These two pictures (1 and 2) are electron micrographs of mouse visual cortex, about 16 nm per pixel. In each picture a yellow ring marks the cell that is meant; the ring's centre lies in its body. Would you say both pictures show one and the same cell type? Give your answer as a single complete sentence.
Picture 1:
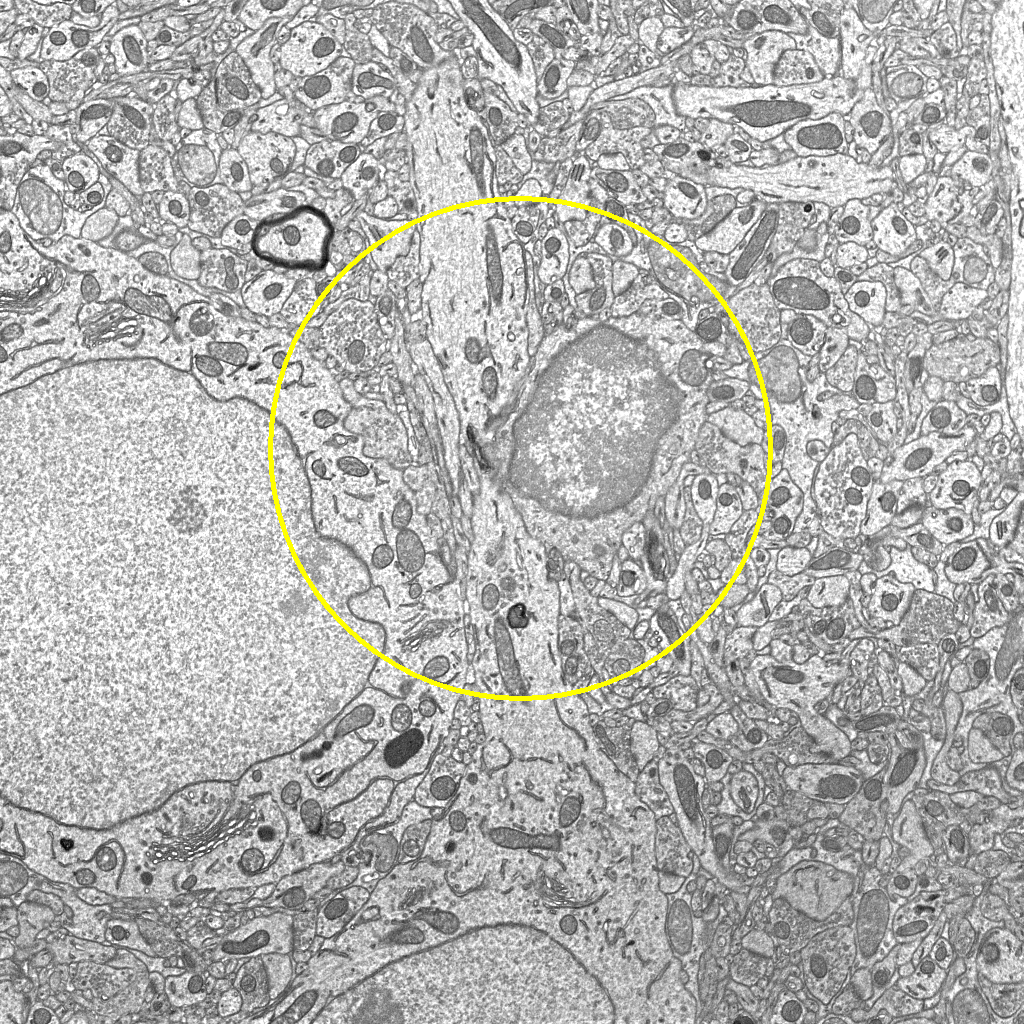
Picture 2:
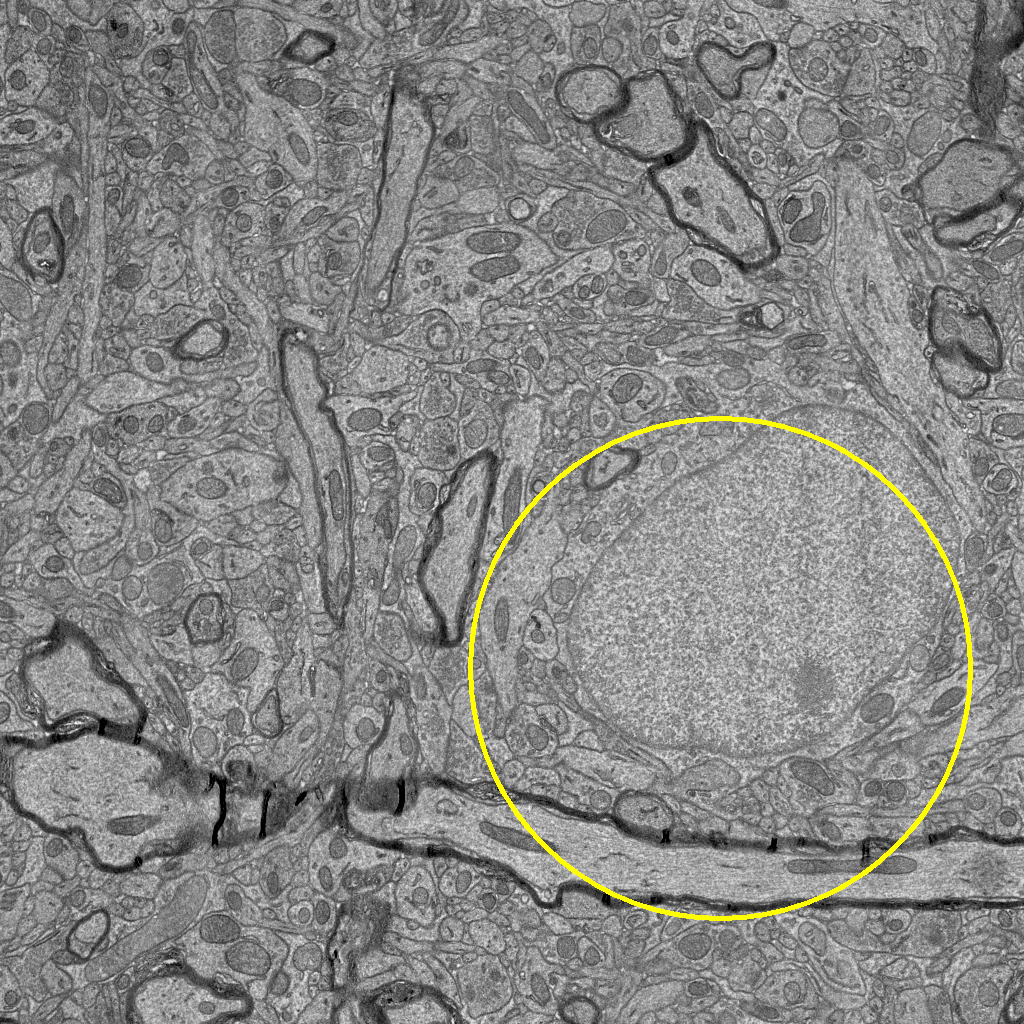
No, they differ: the cell is an oligodendrocyte in picture 1 and an astrocyte in picture 2.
